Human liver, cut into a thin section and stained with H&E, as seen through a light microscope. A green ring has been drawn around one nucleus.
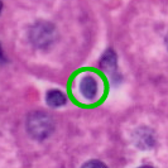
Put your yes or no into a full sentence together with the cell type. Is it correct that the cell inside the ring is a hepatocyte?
No, the cell inside the ring is a lymphocyte in this section, not a hepatocyte.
